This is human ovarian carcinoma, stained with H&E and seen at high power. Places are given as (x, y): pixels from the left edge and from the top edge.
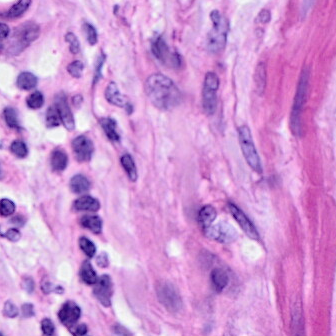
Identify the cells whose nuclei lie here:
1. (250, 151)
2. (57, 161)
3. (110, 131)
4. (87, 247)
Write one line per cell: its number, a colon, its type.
1: fibroblast
2: lymphocyte
3: lymphocyte
4: lymphocyte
